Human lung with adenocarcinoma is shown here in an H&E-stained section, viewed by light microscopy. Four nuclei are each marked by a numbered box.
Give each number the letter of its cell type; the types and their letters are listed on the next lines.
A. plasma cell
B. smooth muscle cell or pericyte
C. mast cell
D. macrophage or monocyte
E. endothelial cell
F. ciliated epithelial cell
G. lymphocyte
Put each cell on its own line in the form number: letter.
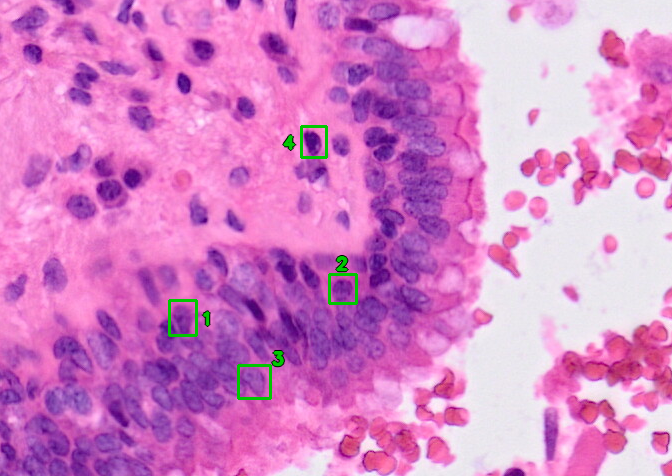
1: F
2: F
3: F
4: G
